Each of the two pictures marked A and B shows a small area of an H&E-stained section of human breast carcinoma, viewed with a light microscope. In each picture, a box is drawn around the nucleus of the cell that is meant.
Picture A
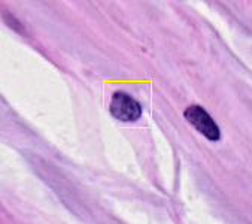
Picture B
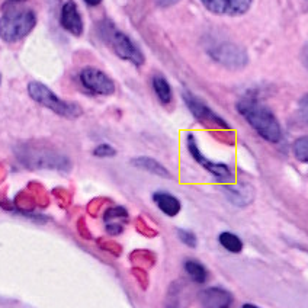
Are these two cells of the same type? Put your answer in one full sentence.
No, picture A shows a lymphocyte and picture B shows an endothelial cell.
